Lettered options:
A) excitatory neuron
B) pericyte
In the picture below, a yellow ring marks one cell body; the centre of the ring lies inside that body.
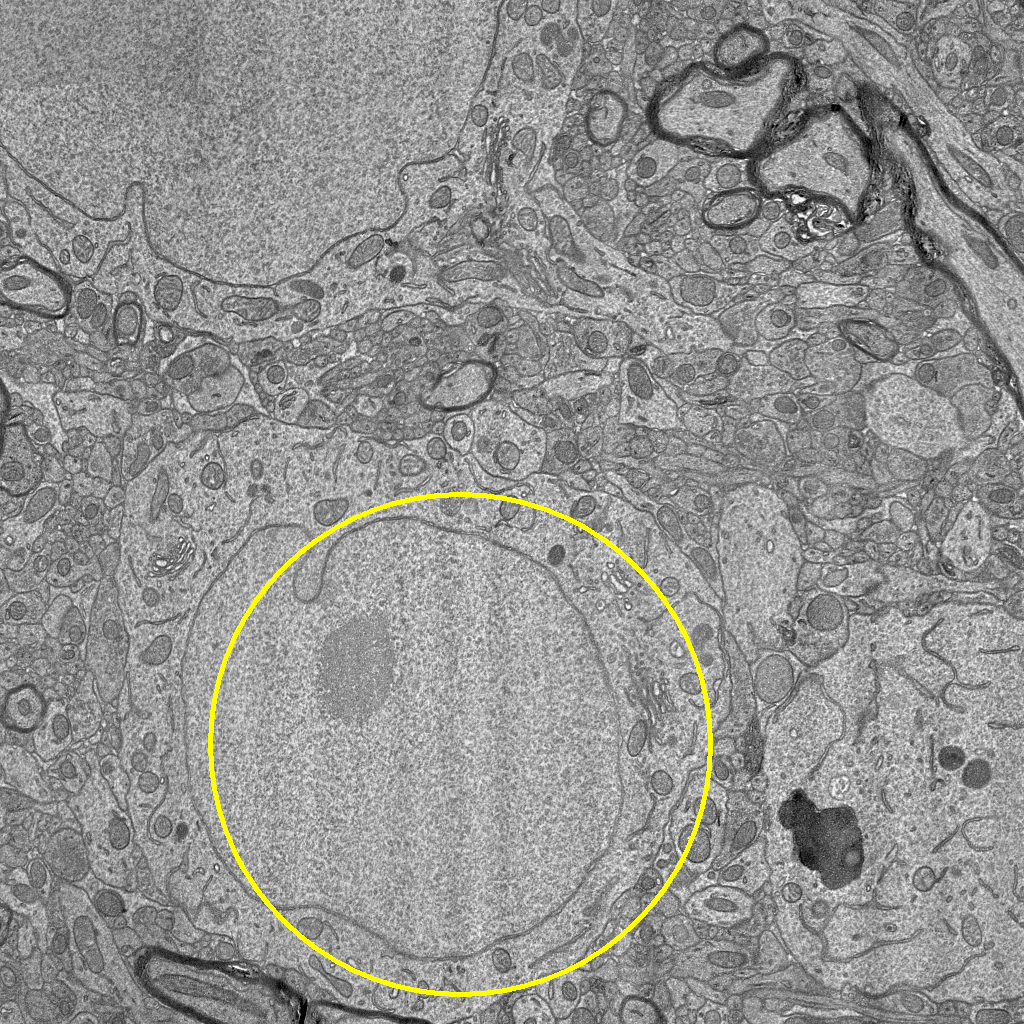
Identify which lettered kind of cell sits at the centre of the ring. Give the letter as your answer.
A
